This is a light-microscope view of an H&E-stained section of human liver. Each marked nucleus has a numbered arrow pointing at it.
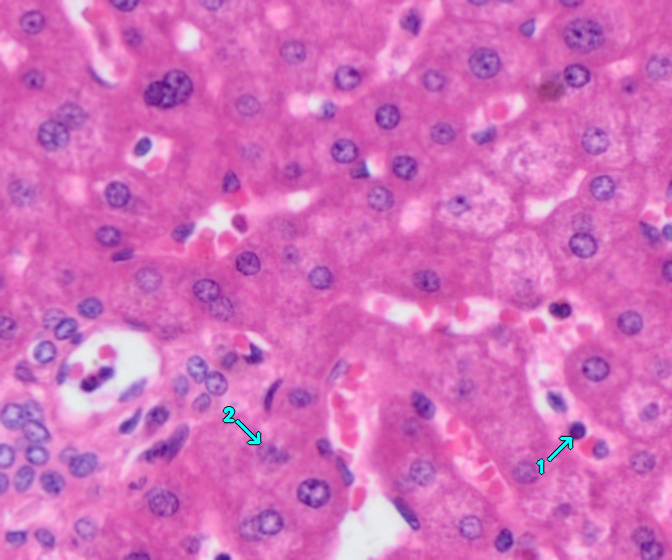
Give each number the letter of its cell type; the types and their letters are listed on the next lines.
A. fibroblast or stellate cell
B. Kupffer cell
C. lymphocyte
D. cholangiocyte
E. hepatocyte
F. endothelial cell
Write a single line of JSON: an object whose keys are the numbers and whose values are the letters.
{"1": "C", "2": "E"}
